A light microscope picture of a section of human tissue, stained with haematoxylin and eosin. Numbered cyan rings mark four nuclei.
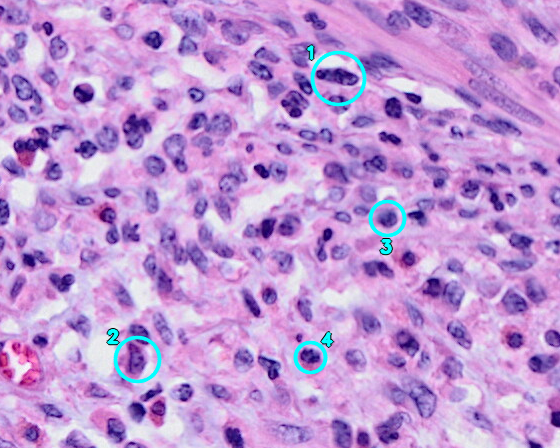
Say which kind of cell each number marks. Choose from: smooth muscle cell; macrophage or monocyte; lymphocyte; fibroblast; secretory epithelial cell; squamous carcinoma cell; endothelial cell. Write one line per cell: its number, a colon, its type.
1: lymphocyte
2: macrophage or monocyte
3: lymphocyte
4: lymphocyte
